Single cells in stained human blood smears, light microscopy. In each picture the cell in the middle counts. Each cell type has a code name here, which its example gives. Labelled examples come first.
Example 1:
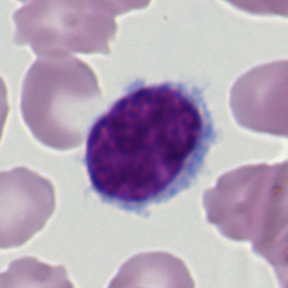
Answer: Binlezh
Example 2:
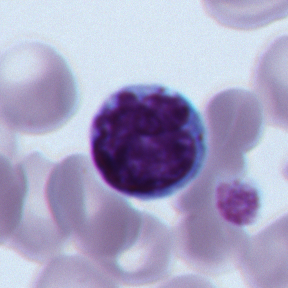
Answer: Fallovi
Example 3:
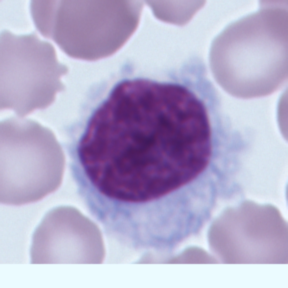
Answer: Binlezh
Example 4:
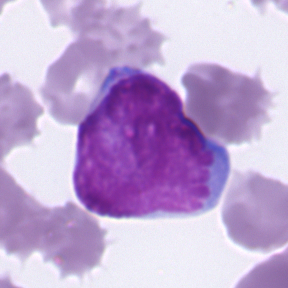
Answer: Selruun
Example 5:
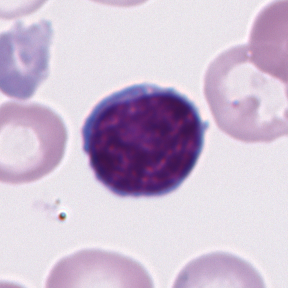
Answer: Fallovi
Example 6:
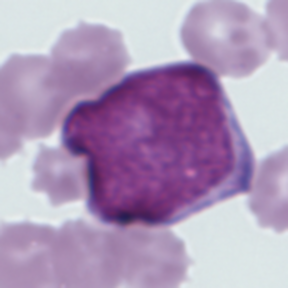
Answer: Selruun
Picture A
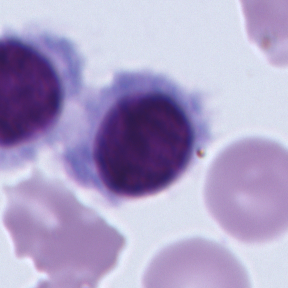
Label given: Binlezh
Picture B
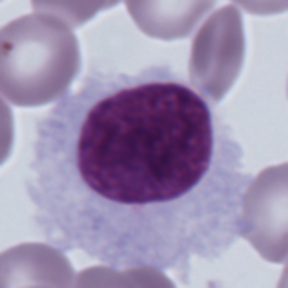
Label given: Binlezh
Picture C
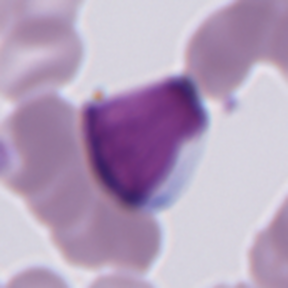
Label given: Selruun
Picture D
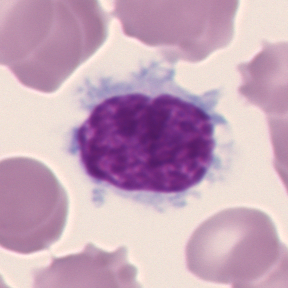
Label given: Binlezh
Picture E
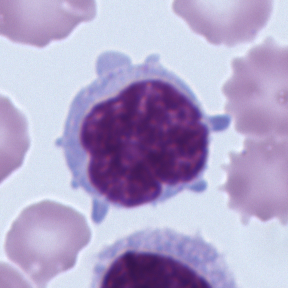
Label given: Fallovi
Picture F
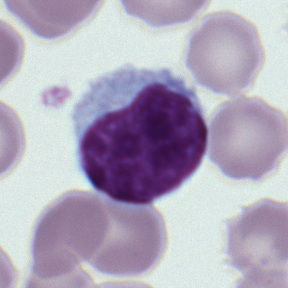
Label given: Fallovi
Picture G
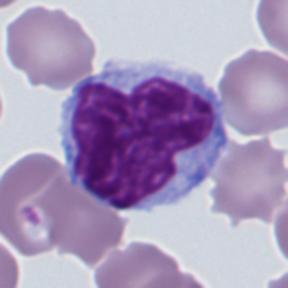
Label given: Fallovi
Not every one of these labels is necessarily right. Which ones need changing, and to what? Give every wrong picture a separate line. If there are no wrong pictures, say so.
C: Fallovi, not Selruun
